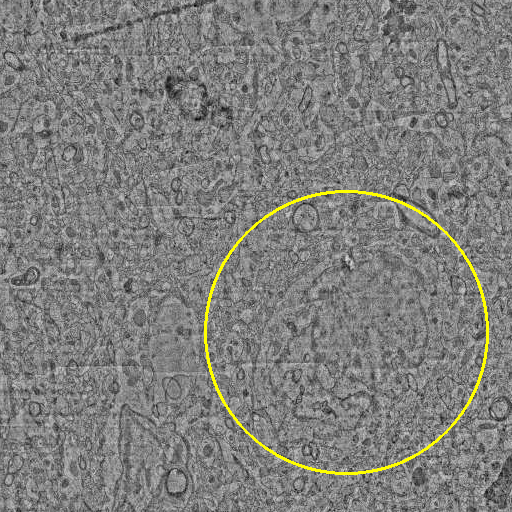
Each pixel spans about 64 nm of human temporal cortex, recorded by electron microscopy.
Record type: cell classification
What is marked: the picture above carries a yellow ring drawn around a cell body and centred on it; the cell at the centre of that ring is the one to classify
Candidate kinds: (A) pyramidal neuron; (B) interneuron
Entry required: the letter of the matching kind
B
